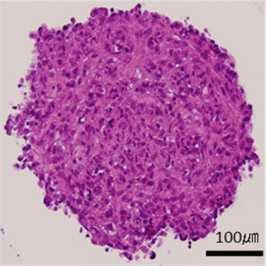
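This section of a multicellular spheroid is densely packed with spindle to polygonal cells stained deep purple and pink. Elongated, spindle-shaped cells lie mixed with angular polygonal cells, without any clear layering. Nuclei are dark purple, oval to elongated, and sit in pink cytoplasm. The outline of the aggregate is rounded but slightly ragged, with a few loose cells at the margin.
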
